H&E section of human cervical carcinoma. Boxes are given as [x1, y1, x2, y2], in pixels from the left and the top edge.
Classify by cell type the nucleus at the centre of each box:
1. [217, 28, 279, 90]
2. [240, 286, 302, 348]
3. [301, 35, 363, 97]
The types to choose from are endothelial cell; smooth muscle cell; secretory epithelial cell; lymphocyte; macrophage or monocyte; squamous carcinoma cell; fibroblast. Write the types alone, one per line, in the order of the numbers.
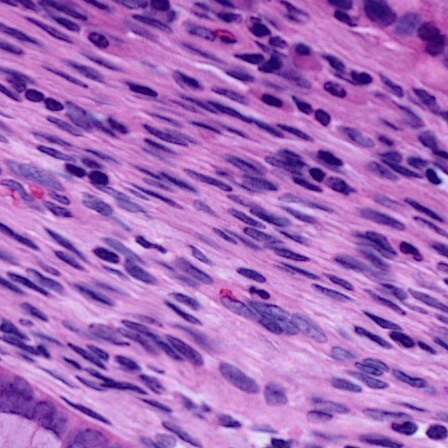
lymphocyte
endothelial cell
fibroblast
